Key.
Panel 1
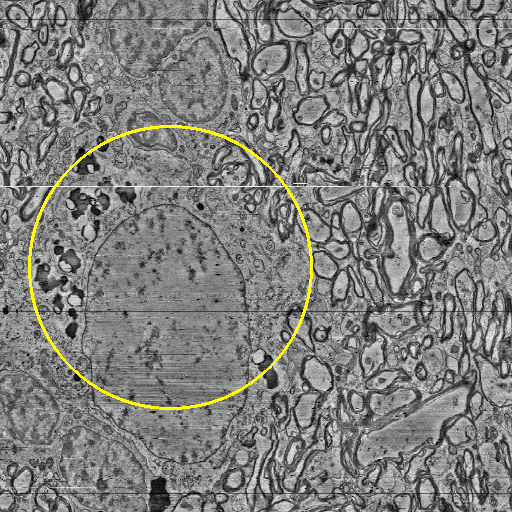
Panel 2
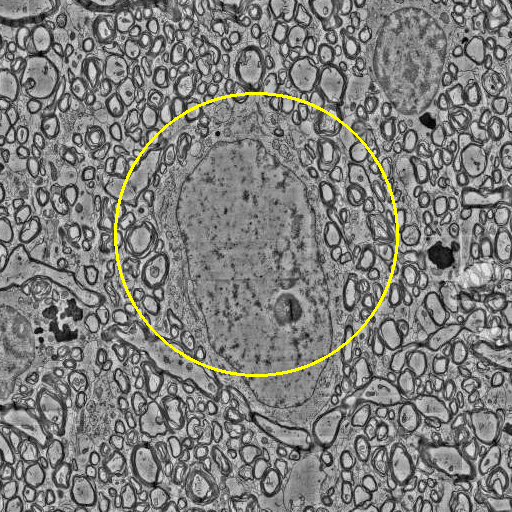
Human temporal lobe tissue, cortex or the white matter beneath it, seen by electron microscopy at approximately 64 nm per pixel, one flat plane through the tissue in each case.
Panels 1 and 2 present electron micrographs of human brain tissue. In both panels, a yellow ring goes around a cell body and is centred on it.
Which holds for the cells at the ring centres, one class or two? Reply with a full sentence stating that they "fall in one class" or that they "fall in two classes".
Taken together, the ring-centre cells of the two panels fall in one class.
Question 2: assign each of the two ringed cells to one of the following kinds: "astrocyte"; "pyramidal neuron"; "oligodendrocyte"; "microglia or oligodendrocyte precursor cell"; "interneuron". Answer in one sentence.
Each of the two cells is a pyramidal neuron.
